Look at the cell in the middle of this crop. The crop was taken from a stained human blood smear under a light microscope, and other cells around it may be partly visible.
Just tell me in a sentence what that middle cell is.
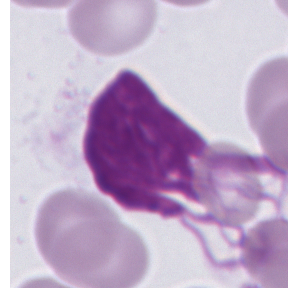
Here the cell in the middle is a smudge cell.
